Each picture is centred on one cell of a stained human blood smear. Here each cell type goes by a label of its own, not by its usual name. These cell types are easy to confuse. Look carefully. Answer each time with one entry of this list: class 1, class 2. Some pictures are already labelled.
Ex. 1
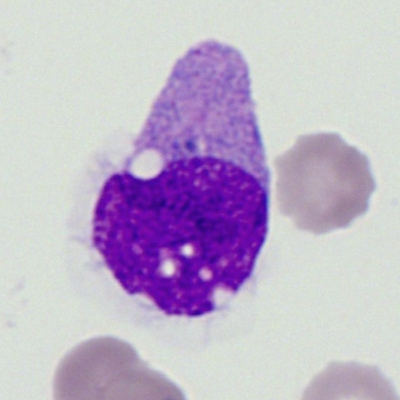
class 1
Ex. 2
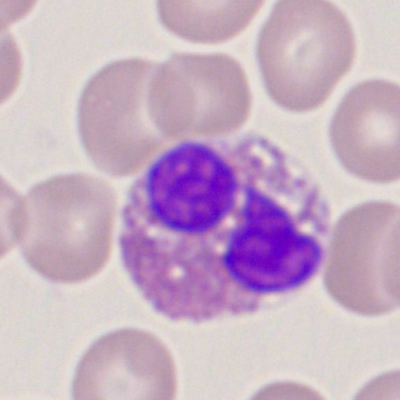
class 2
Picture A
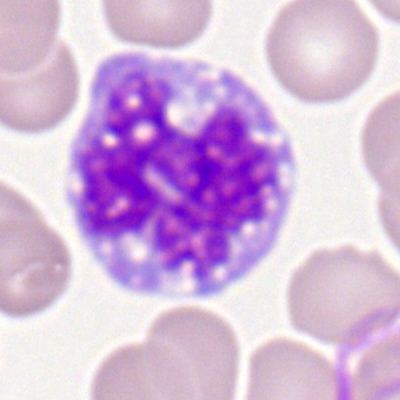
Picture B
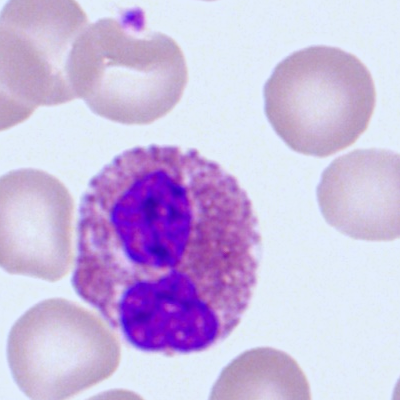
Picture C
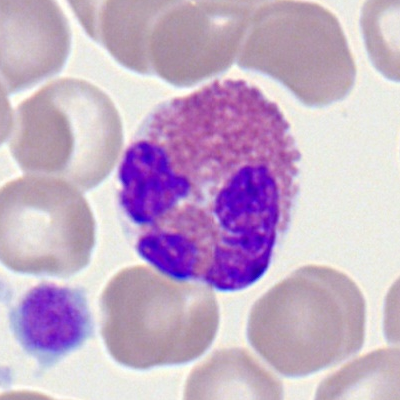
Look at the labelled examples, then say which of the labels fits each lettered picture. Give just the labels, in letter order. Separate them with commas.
class 1, class 2, class 2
